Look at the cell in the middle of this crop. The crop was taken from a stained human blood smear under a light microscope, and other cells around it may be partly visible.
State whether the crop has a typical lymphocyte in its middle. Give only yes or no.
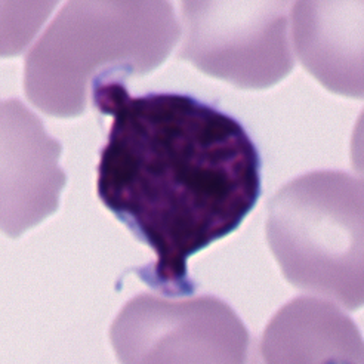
yes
